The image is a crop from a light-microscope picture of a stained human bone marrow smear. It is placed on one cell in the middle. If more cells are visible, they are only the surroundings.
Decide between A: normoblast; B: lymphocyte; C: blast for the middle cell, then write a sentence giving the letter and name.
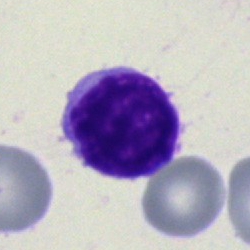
Option B is correct; the cell in the middle is a lymphocyte.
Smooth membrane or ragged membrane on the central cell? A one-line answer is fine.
The cell outline lacks smoothness, being ragged or extended into projections.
